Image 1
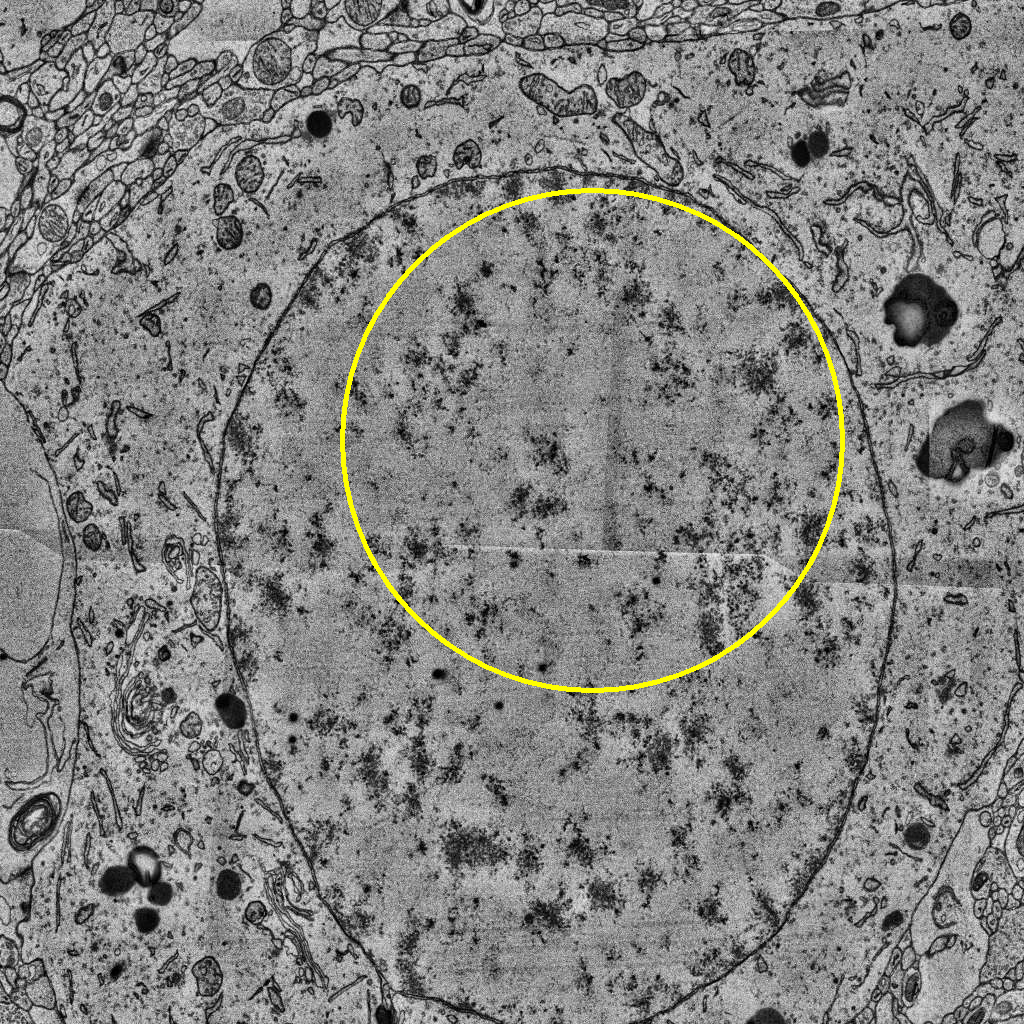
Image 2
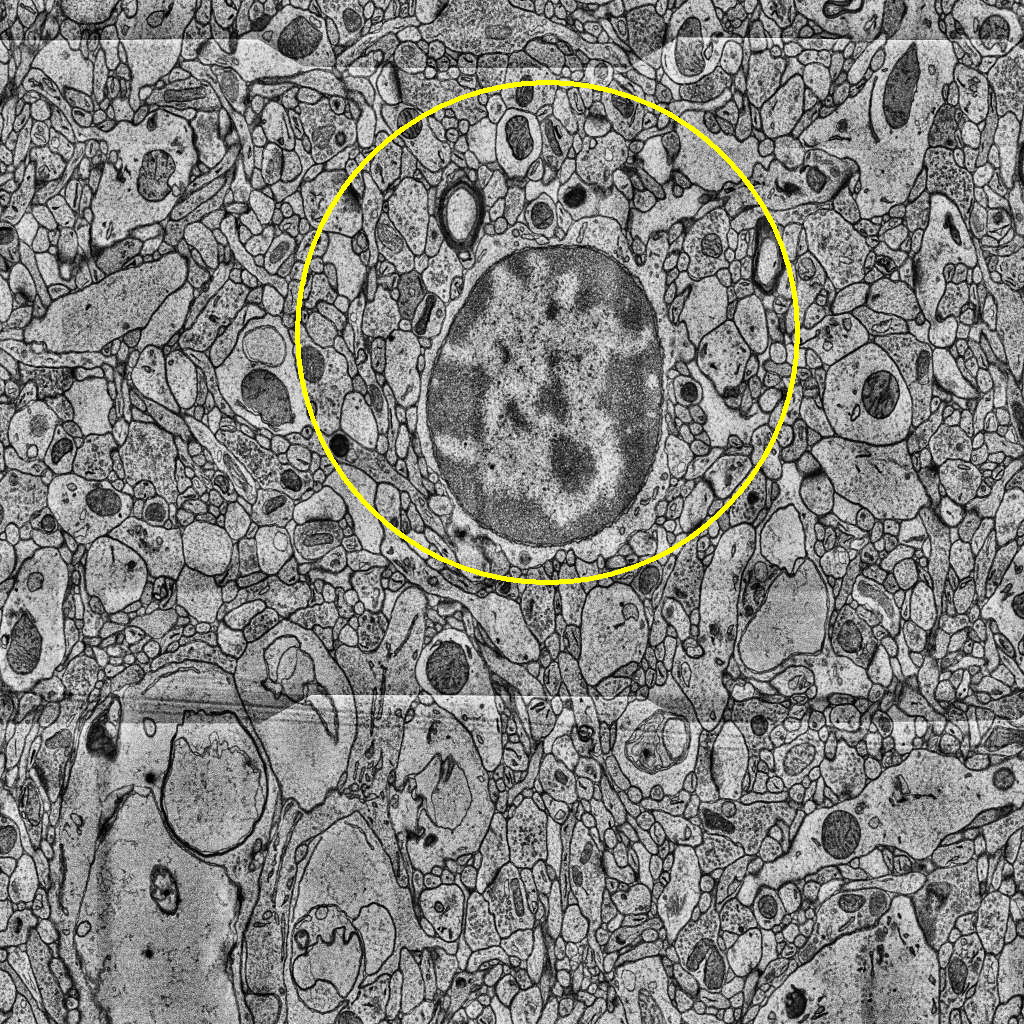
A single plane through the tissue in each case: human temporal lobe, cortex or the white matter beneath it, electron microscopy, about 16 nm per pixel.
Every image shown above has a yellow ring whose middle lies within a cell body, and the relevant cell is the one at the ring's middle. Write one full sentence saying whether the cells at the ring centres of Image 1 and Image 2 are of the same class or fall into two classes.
The cell at the ring's centre in Image 1 and its counterpart in Image 2 fall into two classes.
